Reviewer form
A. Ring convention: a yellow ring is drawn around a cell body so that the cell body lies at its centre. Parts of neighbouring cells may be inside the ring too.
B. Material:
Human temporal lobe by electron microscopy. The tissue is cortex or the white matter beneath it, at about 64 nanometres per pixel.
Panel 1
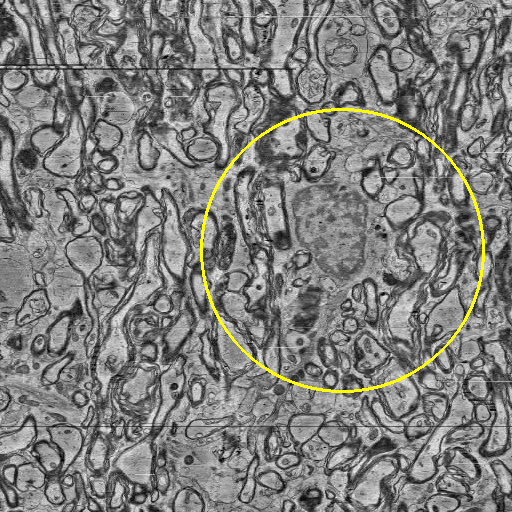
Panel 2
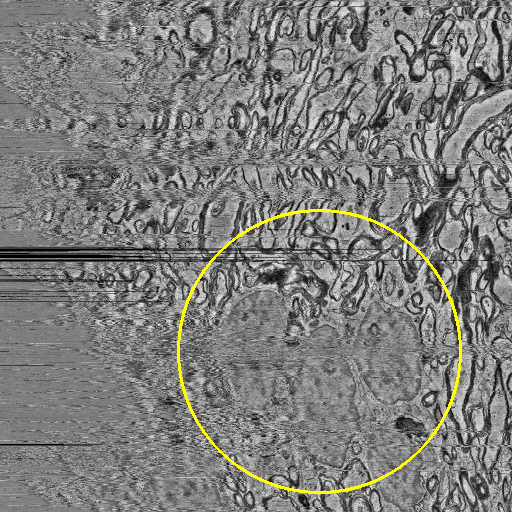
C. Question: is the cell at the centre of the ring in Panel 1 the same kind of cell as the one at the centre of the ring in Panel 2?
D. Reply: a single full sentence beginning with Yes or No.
Yes, the cells in Panel 1 and Panel 2 are the same kind of cell.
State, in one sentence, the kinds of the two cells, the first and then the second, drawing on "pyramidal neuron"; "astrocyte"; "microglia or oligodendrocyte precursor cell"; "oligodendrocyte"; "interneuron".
The cell at the ring centre is an oligodendrocyte in both pictures.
